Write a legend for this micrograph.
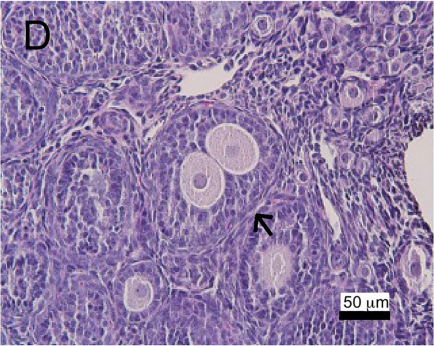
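This is ovarian cortex with follicles at several stages. In the centre one follicle contains two large oocytes lying side by side, each with a pale, thick rim around it, and both are wrapped in a shared, several-cell-thick layer of granulosa cells with dark round nuclei. Neighbouring follicles hold single oocytes in multilayered granulosa cells, and along the upper and right edges many small round oocytes with pale rims sit in the cortex. The spaces between follicles are filled by densely packed spindle-shaped stromal cells with elongated purple nuclei.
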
